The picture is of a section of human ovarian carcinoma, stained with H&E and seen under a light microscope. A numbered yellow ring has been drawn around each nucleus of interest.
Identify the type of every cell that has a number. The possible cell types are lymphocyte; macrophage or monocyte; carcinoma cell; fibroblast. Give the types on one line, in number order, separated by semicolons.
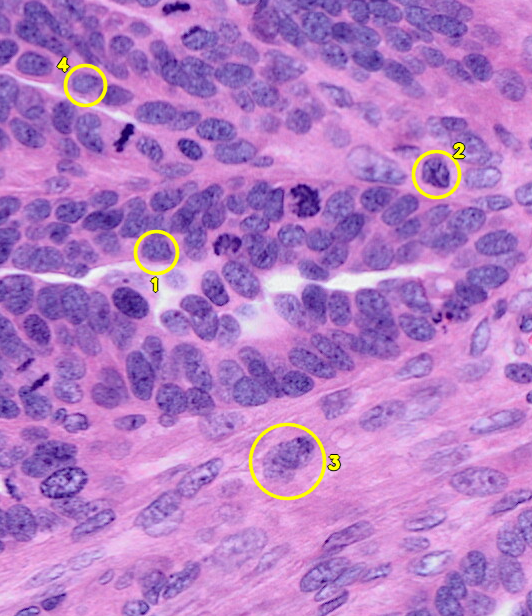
carcinoma cell; macrophage or monocyte; fibroblast; carcinoma cell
